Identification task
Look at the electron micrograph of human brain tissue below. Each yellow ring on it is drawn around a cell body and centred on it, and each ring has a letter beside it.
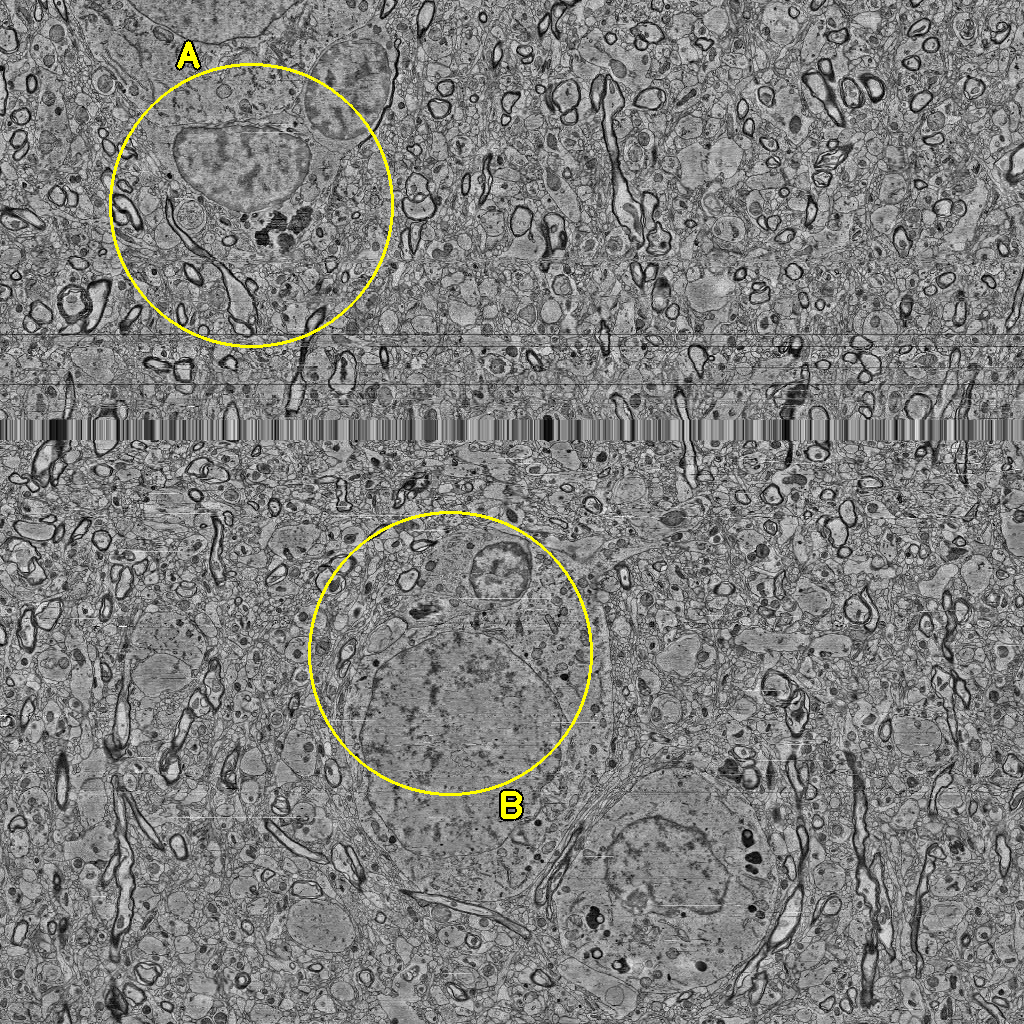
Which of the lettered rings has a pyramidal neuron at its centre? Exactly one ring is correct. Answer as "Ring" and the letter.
Ring B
